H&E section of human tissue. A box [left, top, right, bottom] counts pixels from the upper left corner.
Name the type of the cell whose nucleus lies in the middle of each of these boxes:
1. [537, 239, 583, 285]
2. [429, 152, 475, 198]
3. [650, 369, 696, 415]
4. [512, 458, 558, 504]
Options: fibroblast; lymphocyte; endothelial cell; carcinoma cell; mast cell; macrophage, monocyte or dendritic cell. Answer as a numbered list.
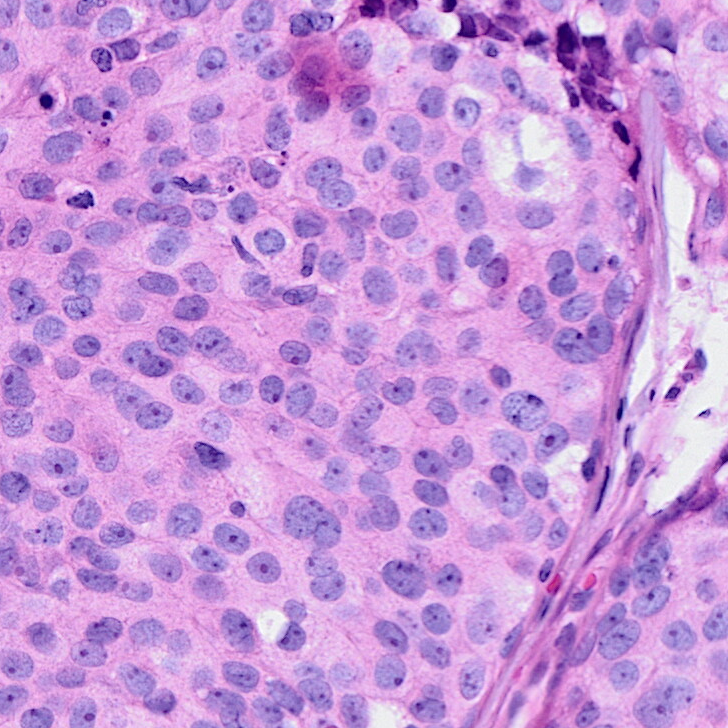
1. carcinoma cell
2. carcinoma cell
3. mast cell
4. carcinoma cell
